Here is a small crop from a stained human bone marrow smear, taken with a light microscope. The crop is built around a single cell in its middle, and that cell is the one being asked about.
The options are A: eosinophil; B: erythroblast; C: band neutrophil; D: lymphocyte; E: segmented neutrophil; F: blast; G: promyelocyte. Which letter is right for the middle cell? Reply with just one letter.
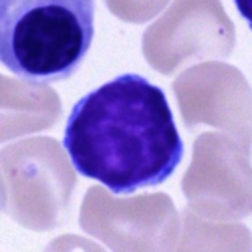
D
